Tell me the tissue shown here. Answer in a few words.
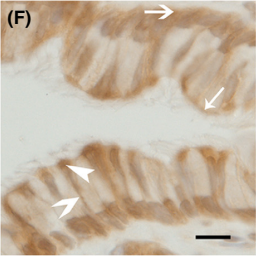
Epithelium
